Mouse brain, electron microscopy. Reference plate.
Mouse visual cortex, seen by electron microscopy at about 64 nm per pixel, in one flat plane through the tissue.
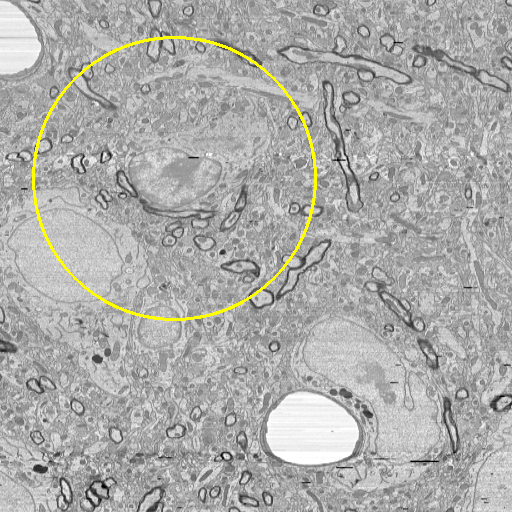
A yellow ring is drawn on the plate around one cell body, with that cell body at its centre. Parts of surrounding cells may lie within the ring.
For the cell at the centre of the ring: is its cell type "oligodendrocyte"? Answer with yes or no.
Yes, that is its cell type.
